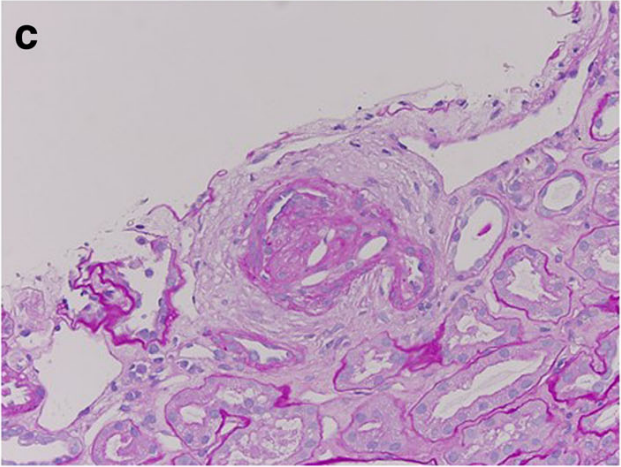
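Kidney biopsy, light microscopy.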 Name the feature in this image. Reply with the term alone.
Interlobular artery.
